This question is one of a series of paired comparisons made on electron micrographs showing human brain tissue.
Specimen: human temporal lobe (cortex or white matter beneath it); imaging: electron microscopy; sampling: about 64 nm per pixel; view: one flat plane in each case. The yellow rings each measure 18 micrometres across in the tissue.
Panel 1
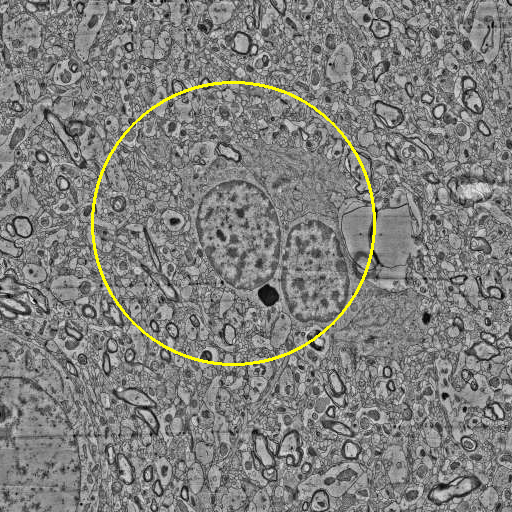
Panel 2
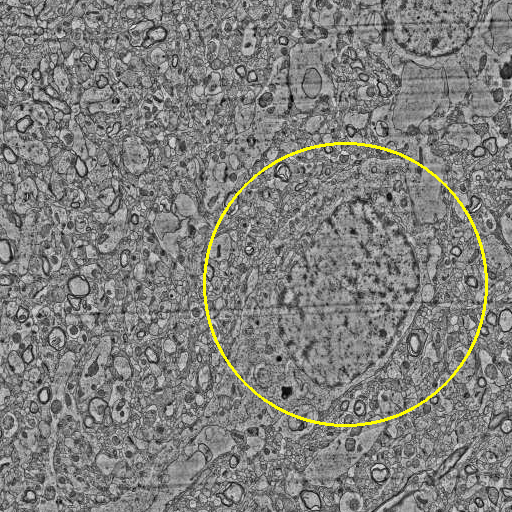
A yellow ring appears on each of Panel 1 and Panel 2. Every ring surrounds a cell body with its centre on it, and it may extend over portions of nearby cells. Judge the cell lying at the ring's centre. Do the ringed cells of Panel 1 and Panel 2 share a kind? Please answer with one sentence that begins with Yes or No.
No, the ring-centre cell in Panel 1 and the one in Panel 2 are of two kinds.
